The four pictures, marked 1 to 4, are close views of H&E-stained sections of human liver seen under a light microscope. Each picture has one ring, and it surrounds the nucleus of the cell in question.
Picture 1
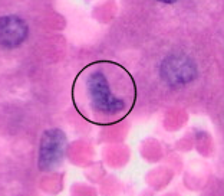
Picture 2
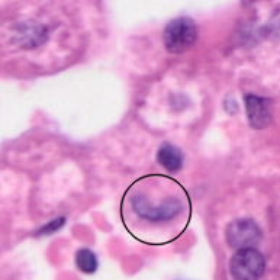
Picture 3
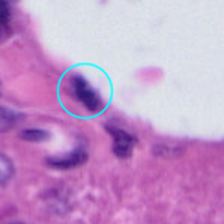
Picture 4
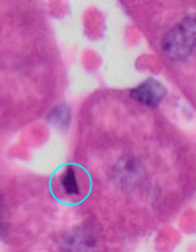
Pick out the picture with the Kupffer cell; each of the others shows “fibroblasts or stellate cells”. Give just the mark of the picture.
2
